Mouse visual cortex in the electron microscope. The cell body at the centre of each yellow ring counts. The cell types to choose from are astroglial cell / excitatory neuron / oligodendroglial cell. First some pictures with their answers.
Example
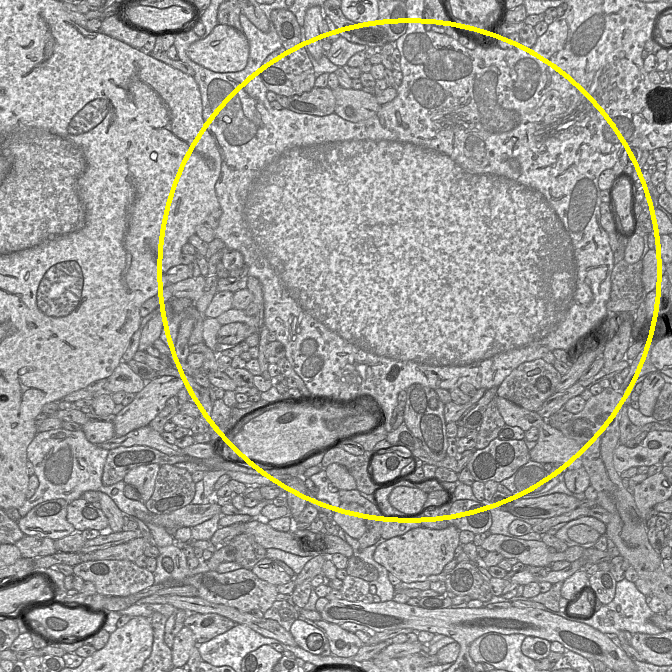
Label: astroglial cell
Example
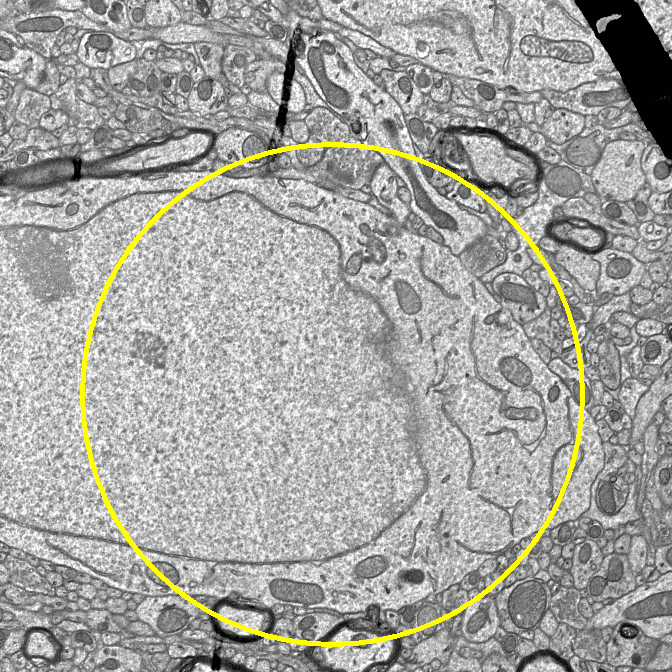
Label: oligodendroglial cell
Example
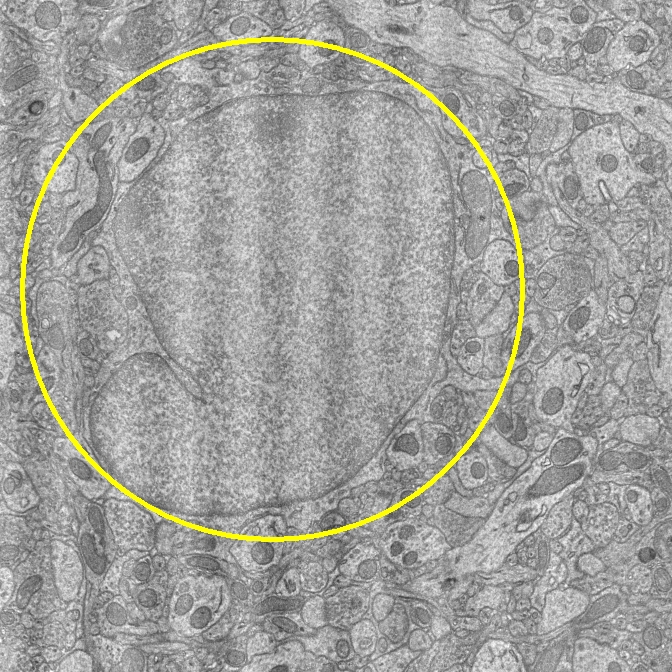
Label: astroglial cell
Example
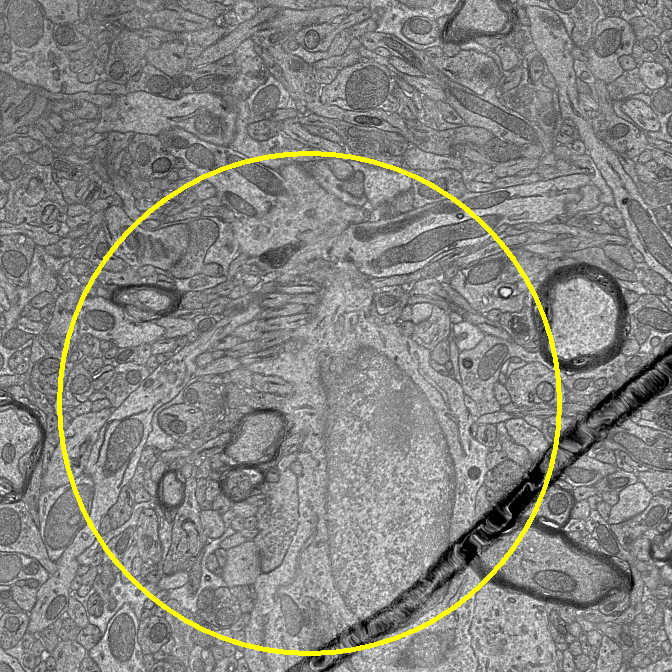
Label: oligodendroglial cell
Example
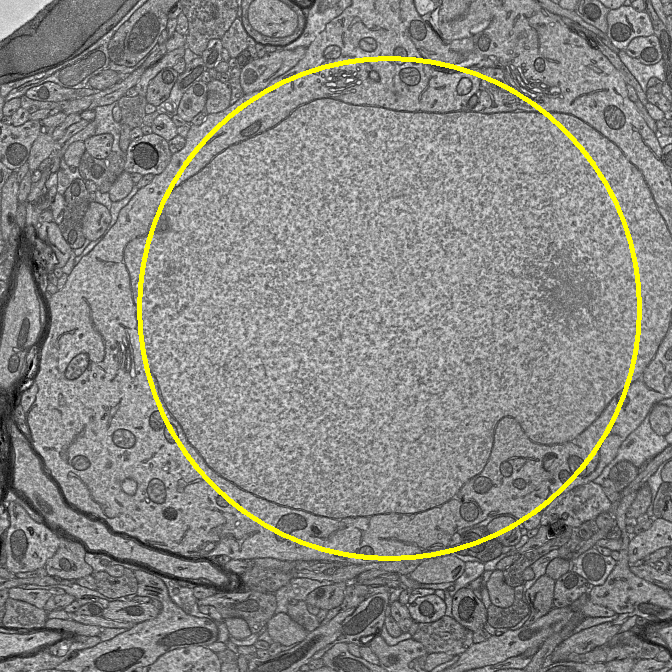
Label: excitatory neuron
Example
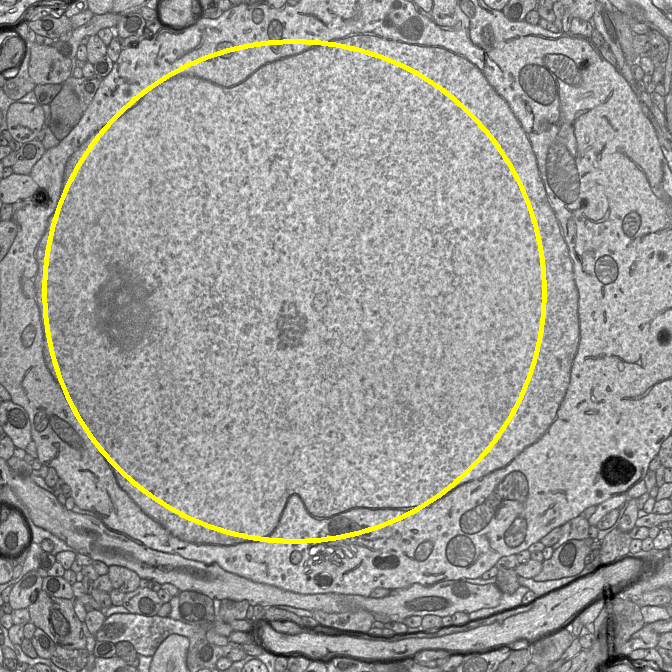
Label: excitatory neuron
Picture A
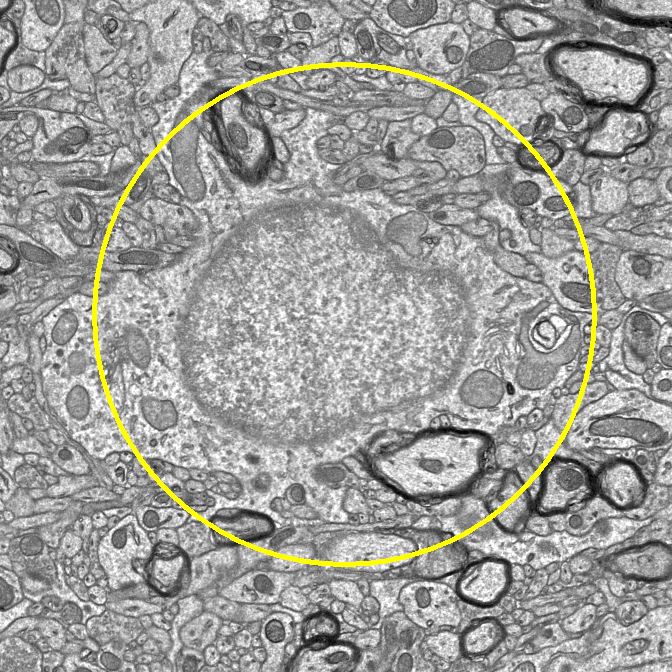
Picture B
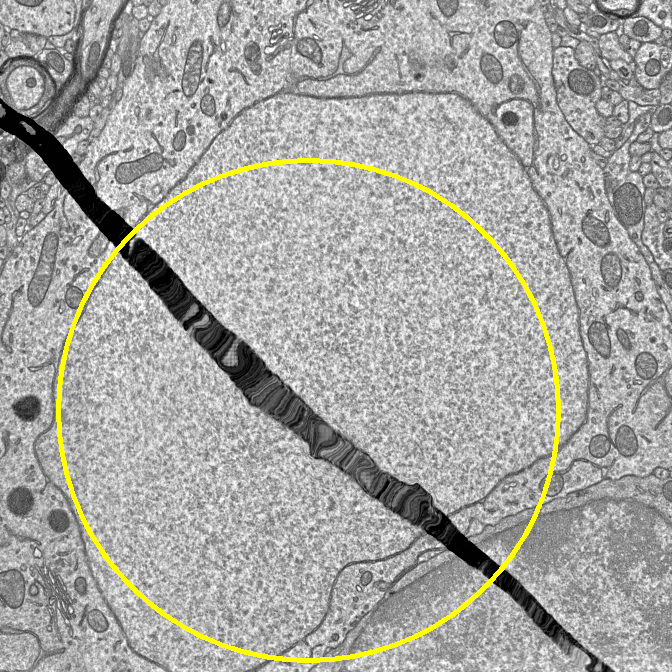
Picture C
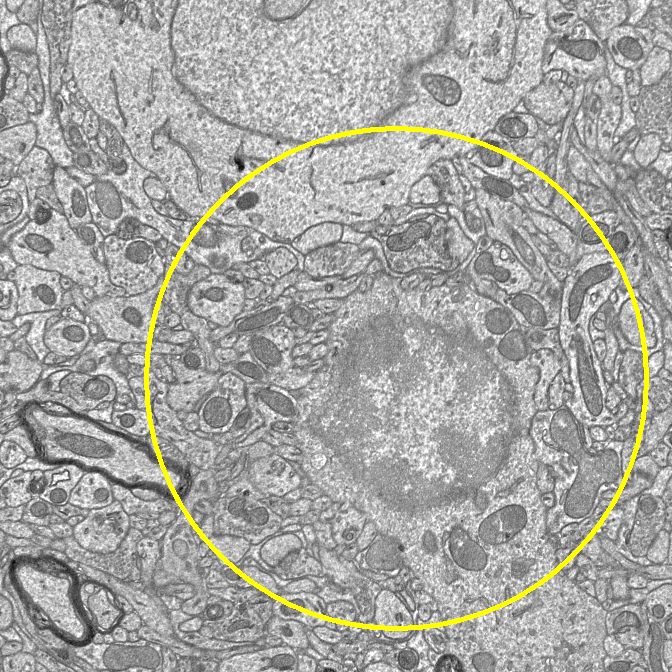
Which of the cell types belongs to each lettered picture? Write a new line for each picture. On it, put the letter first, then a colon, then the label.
A: astroglial cell
B: excitatory neuron
C: oligodendroglial cell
